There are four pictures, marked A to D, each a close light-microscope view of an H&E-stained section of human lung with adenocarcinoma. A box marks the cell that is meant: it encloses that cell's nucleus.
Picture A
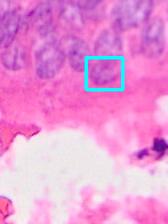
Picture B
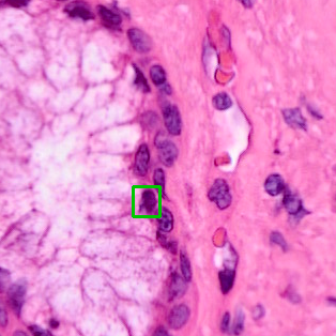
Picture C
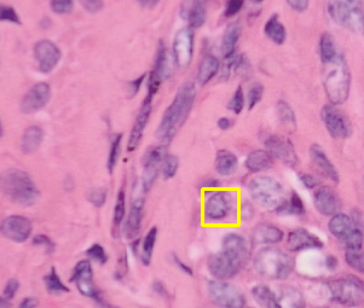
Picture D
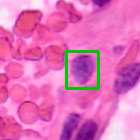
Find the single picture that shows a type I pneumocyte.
D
